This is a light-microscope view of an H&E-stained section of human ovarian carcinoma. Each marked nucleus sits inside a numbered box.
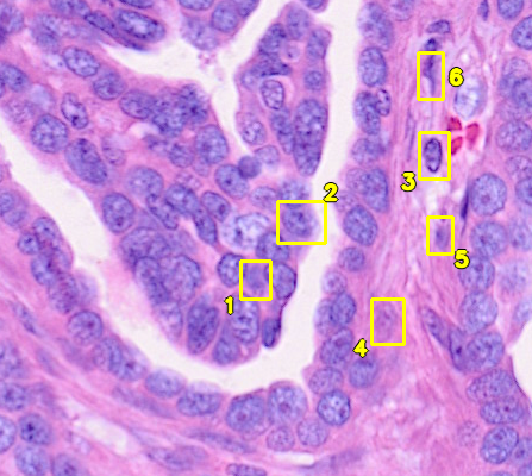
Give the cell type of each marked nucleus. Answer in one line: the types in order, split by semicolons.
carcinoma cell; carcinoma cell; macrophage or monocyte; fibroblast; fibroblast; fibroblast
